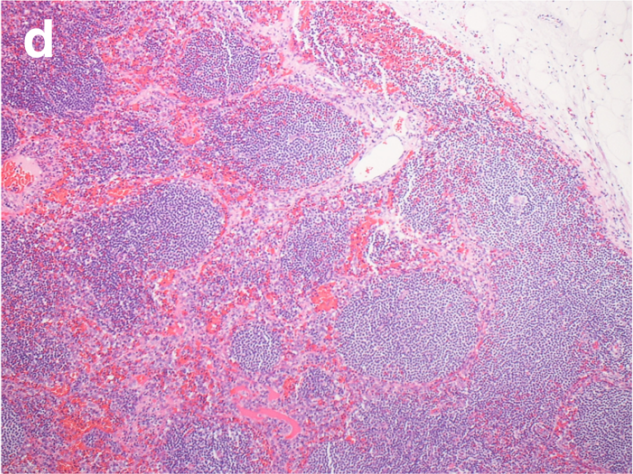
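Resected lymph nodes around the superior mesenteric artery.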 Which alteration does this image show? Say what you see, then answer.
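Hyperplasia of lymphoid follicles. Numerous round, densely cellular purple nodules of small lymphocytes fill the tissue. The nodules are crowded close together. Red blood cells fill the spaces between the nodules.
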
